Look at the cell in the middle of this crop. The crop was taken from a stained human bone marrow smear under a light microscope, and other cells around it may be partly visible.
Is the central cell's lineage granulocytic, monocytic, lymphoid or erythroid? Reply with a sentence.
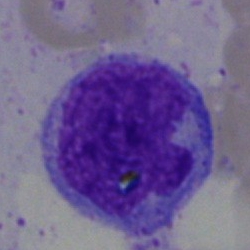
The middle cell of the crop arises from the monocytic lineage.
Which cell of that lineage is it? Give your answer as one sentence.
This crop has a monocyte at its centre.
